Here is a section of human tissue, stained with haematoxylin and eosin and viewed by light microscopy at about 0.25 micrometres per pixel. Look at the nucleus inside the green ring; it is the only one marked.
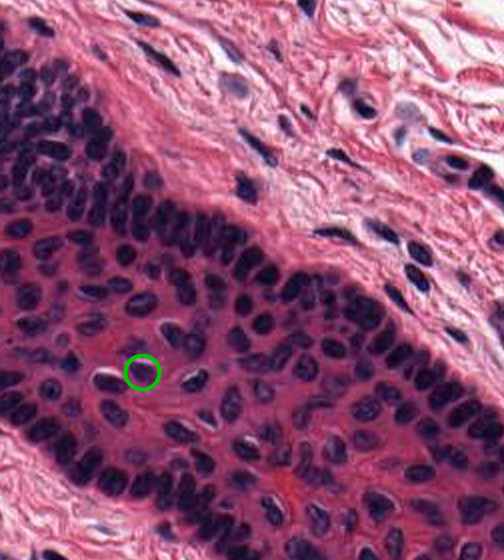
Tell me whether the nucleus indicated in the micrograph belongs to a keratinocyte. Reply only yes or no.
yes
